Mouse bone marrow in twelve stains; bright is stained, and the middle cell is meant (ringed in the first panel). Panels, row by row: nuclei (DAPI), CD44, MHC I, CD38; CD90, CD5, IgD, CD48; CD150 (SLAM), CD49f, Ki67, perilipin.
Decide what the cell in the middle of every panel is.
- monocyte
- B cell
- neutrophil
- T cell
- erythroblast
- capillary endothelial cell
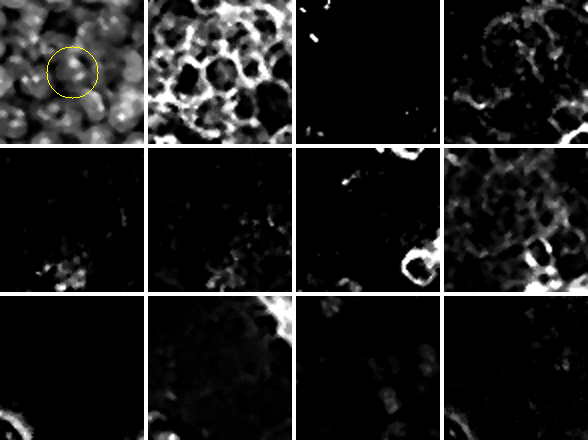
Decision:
neutrophil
